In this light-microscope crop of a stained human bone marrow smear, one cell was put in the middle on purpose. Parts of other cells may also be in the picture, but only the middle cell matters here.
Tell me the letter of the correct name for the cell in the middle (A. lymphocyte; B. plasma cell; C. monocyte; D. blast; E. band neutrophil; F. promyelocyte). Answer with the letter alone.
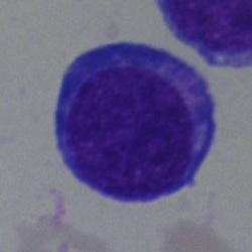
D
